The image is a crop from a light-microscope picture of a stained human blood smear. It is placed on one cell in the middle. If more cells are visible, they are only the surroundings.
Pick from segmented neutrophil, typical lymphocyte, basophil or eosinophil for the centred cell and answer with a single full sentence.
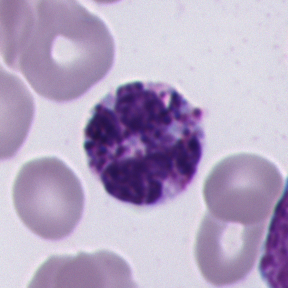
The target cell in the middle of the crop is a basophil.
